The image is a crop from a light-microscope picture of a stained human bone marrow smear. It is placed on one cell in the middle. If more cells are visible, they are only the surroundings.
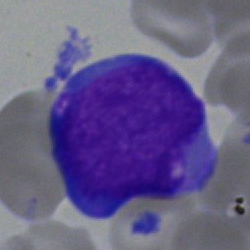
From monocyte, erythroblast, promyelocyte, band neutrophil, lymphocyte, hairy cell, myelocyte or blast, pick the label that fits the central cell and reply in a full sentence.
This crop has a blast at its centre.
